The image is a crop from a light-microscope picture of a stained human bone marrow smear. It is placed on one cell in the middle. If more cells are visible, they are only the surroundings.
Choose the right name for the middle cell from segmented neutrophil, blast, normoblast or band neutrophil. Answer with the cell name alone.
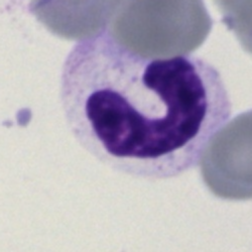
band neutrophil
